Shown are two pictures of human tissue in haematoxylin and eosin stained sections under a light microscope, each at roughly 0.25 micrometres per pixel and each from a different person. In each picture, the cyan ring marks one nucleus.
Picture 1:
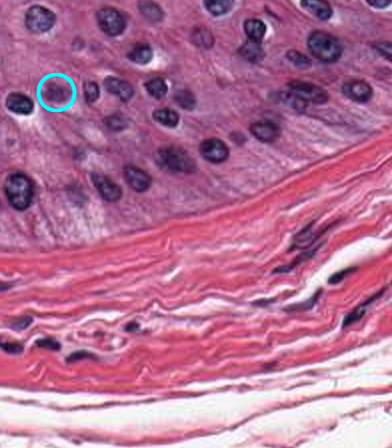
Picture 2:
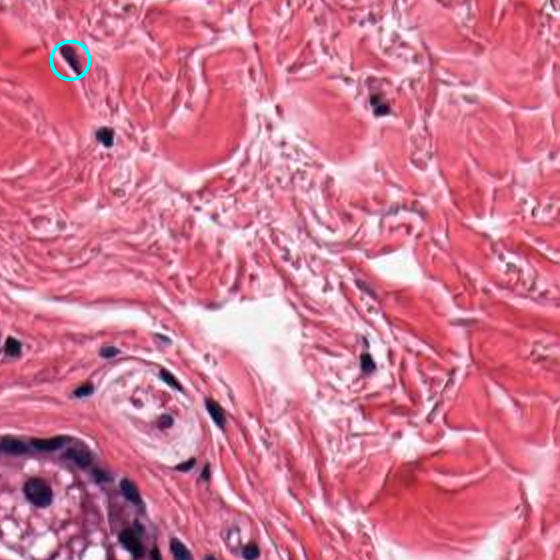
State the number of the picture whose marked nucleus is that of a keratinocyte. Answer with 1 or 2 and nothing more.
1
